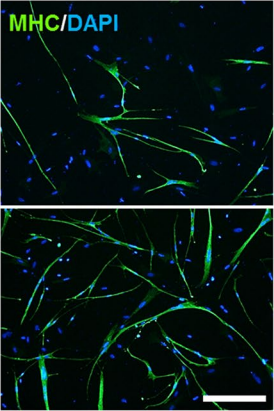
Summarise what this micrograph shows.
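The green cells are long, slender and often tapered at both ends, some branching or running in curved strands across the field. Blue oval nuclei are scattered throughout, many of them in cells without green, while others sit inside the green strands, a few of which hold more than one nucleus. The lower image shows more and thicker green cells than the upper one, crossing and lying close to each other.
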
